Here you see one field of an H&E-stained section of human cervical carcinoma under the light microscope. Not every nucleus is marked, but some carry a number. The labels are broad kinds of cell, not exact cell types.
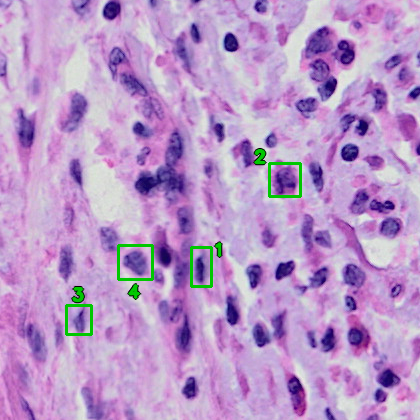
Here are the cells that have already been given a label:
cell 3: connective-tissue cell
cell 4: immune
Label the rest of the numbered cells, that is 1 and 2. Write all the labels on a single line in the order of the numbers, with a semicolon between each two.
immune; immune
